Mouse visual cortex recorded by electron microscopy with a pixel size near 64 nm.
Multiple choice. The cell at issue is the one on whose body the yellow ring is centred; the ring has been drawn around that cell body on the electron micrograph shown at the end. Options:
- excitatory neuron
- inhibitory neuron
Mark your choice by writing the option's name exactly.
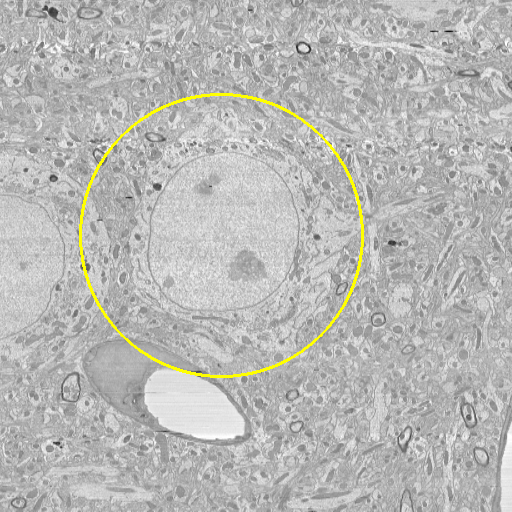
excitatory neuron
